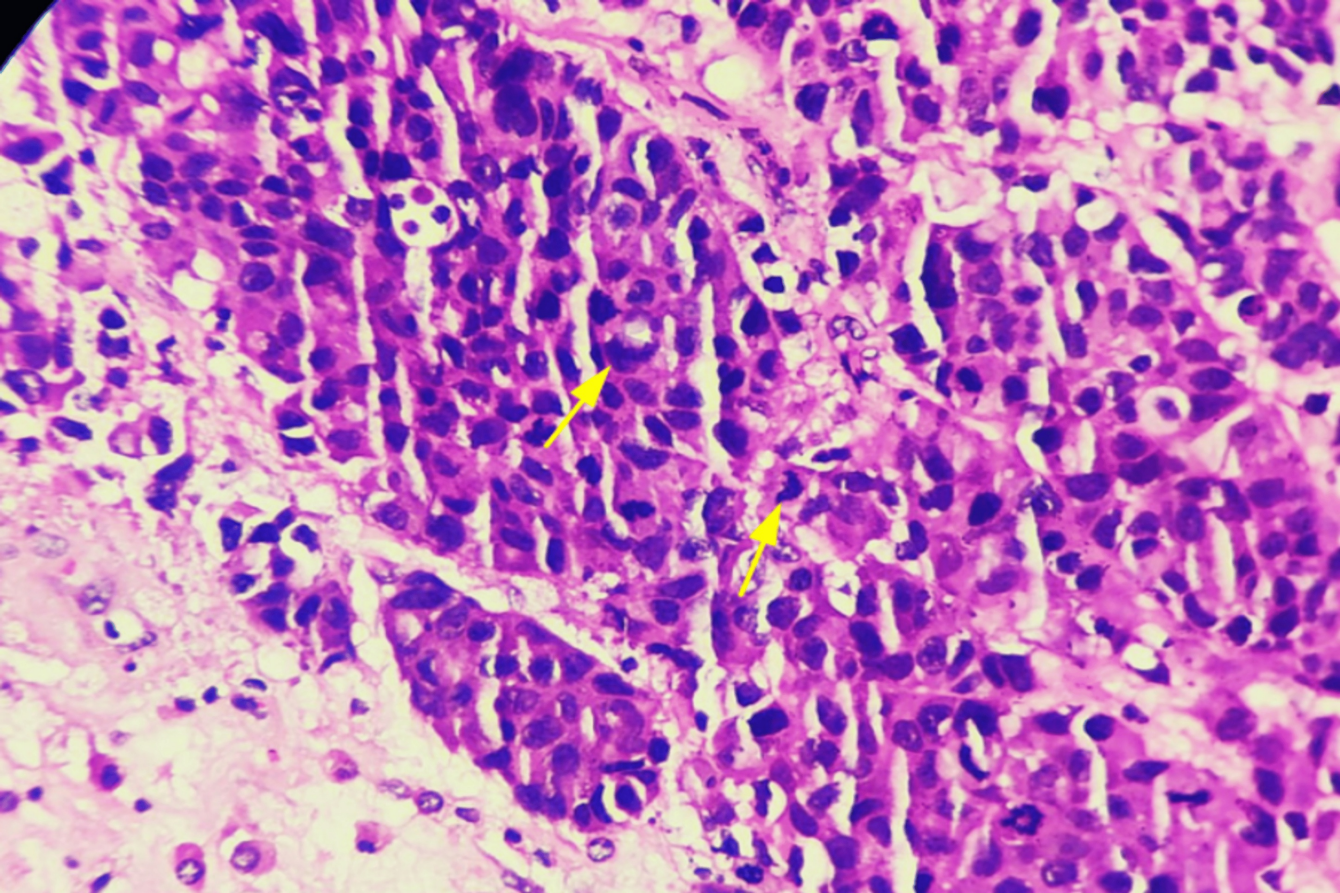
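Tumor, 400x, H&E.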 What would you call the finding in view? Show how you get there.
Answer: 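Nuclei vary clearly in size and shape from cell to cell. Some nuclei are large and round, while others are small, elongated or irregular.
Answer: nuclear pleomorphism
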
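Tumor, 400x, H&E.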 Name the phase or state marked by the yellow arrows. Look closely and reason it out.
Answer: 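The arrows point to cells with dark, dense, clumped nuclear chromatin.
Conclusion: mitosis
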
